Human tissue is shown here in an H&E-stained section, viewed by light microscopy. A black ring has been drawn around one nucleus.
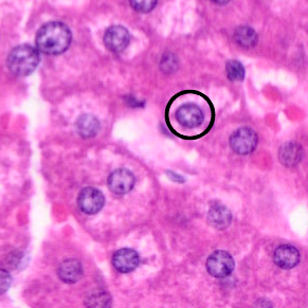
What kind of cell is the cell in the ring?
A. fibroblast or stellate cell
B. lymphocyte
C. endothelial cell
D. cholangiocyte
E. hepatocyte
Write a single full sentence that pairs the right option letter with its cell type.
Option E wins here: the cell in the ring is a hepatocyte.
